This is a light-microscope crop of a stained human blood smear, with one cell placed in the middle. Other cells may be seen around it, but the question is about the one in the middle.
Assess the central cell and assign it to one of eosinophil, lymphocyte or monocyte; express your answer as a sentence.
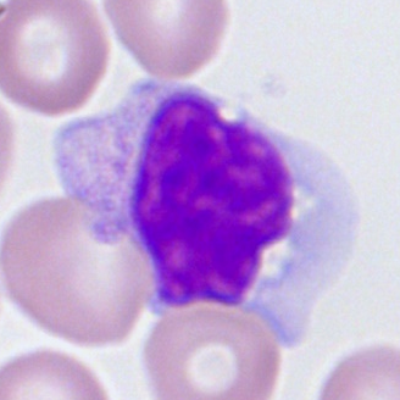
In the crop, the cell of interest at the centre is a monocyte.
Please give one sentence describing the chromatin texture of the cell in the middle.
Answer: the chromatin in this nucleus is coarsely clumped.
